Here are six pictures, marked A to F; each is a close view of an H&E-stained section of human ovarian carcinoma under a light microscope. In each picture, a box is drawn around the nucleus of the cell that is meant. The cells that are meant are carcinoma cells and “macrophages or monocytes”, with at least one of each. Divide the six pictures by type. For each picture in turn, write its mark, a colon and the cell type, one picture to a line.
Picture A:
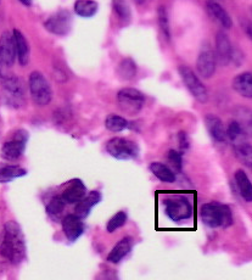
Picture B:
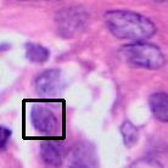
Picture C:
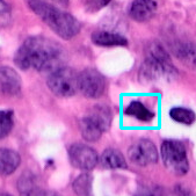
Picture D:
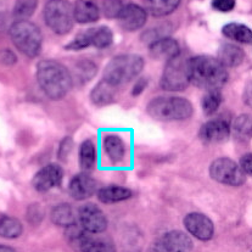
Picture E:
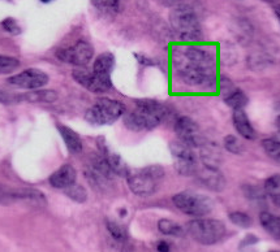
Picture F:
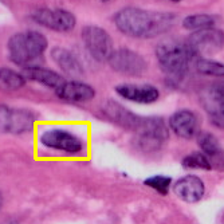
A: carcinoma cell
B: carcinoma cell
C: carcinoma cell
D: macrophage or monocyte
E: carcinoma cell
F: macrophage or monocyte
